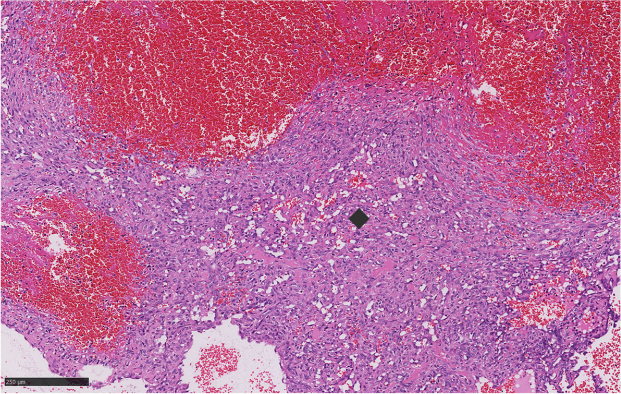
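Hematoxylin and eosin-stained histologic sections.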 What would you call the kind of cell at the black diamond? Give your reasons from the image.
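Sheets of plump cells with rounded to oval nuclei and pink cytoplasm. The cells lie beside large pools of red blood cells. On this evidence: solid epithelioid tumor cells.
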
